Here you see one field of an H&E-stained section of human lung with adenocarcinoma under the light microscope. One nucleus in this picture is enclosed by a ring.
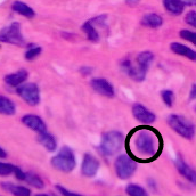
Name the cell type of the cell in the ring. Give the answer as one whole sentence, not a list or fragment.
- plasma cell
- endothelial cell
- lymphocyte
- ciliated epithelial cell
For cell typing purposes, the cell in the ring is a lymphocyte.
